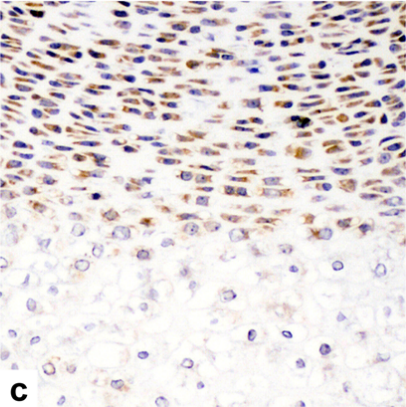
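This is the growth plate cartilage, with chondrocytes lying in a pale matrix. In the upper part the cells are small and flattened, with elongated blue nuclei, and they are packed closely and lined up in stacked rows. Many of these flattened cells carry brown staining in their cytoplasm around the nucleus. Toward the lower part the cells become larger and rounder, with more pale cytoplasm and round nuclei. The largest, rounded cells at the bottom are mostly pale, with little brown.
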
